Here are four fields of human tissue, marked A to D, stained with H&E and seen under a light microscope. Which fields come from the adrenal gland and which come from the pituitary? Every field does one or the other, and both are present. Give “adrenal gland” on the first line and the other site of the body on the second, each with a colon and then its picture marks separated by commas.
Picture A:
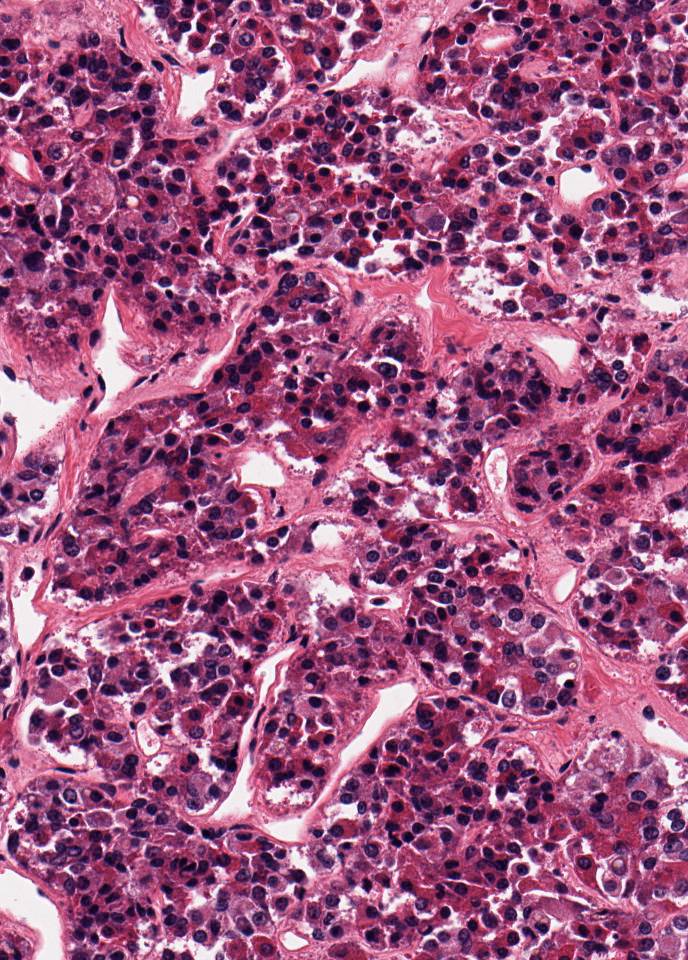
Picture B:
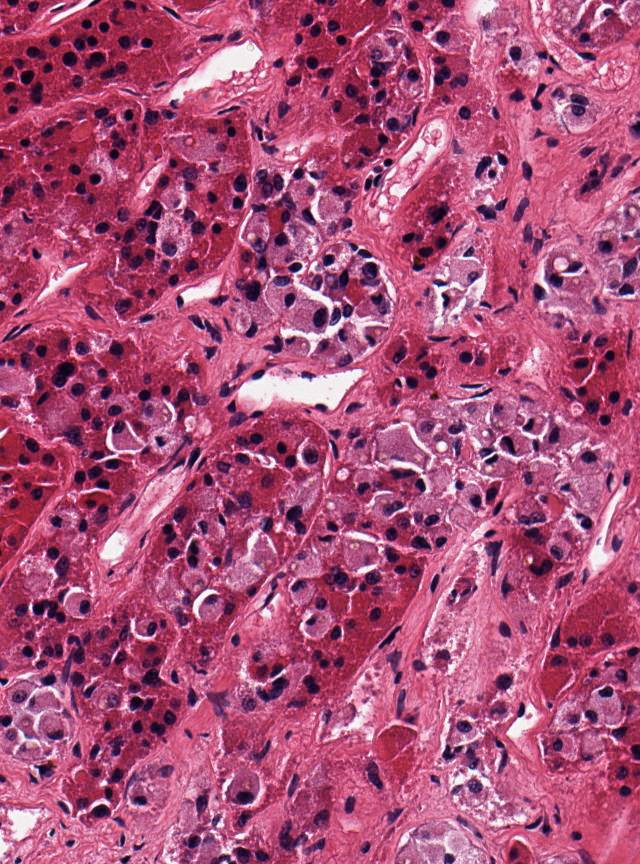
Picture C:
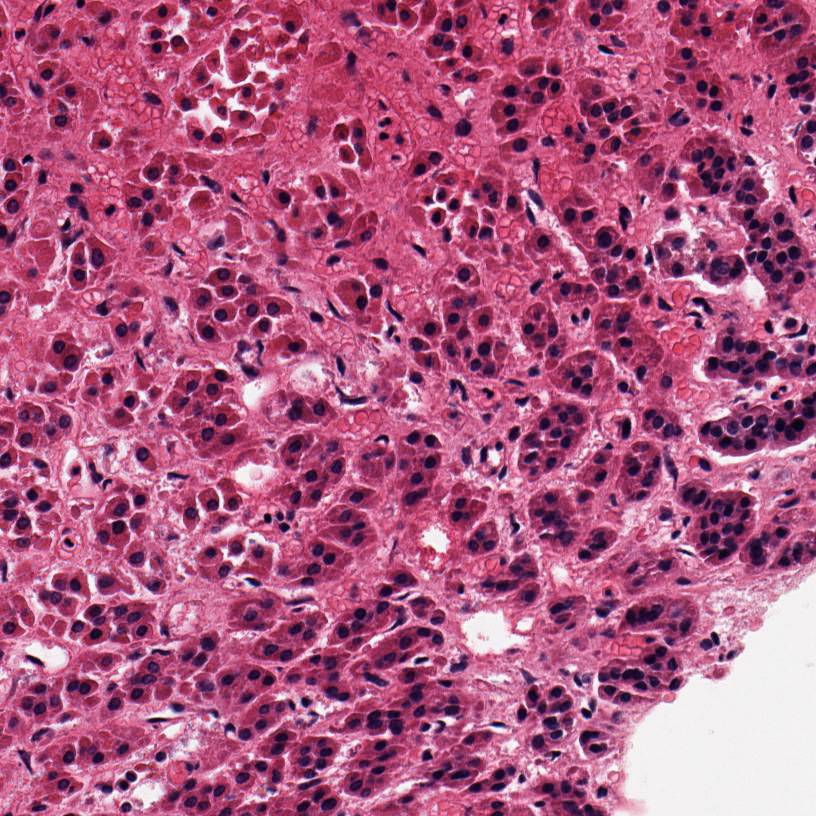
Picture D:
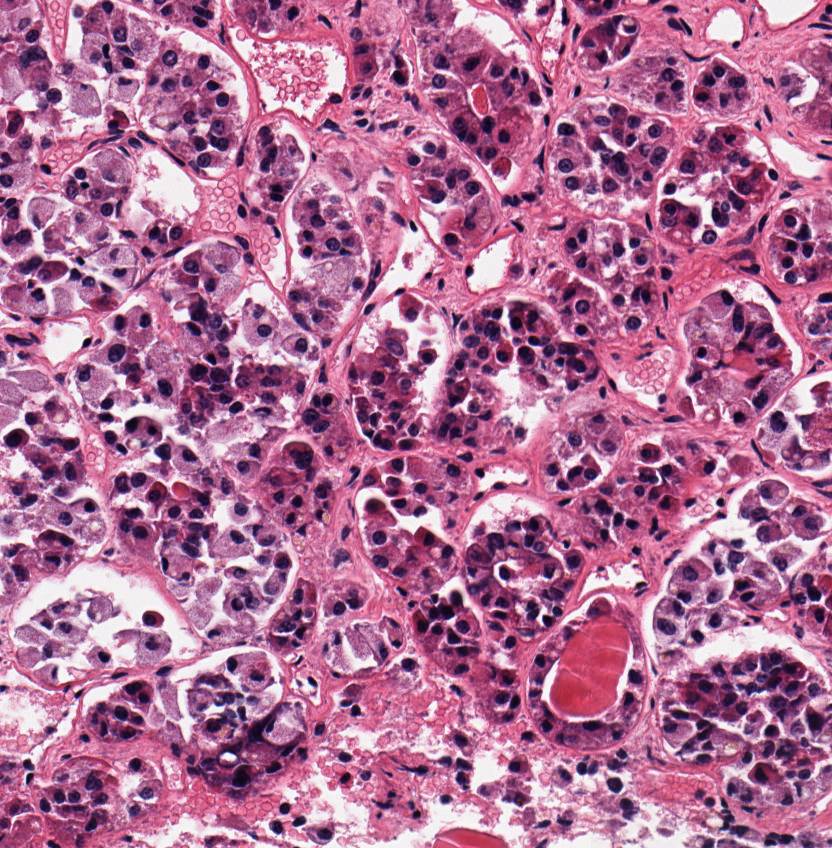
adrenal gland: C
pituitary: A, B, D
